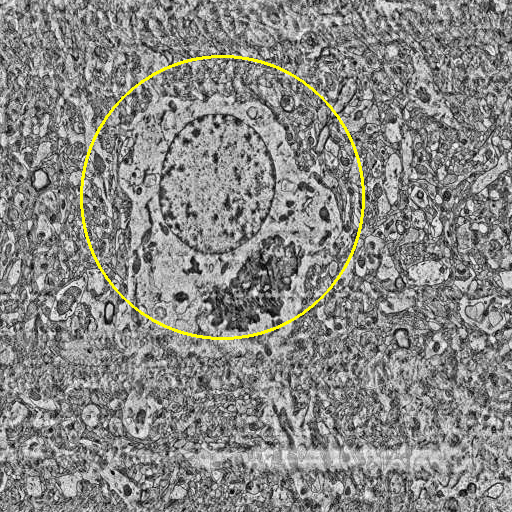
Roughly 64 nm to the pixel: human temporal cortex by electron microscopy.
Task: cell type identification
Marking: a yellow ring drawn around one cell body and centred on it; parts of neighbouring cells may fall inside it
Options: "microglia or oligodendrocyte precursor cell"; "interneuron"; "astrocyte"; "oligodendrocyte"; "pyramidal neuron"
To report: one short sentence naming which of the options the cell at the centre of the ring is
The cell at the centre of the ring is an astrocyte.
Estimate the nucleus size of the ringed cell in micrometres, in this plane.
Approximately 9 micrometres long and 7 micrometres wide, in this plane.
